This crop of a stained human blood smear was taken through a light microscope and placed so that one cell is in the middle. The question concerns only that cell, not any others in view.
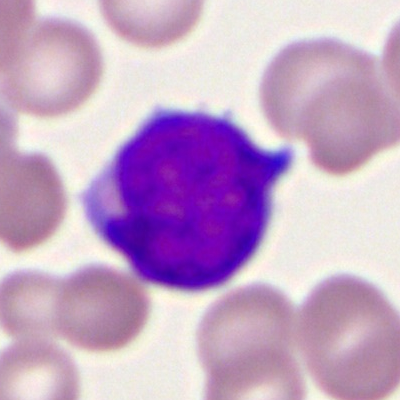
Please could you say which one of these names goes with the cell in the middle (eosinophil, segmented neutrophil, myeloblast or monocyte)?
myeloblast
